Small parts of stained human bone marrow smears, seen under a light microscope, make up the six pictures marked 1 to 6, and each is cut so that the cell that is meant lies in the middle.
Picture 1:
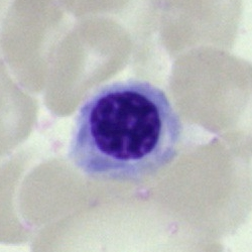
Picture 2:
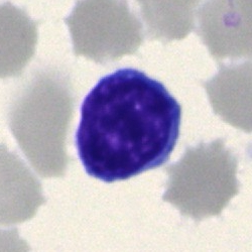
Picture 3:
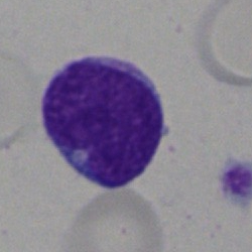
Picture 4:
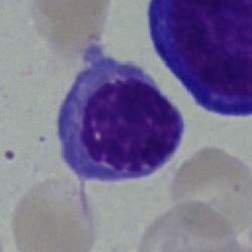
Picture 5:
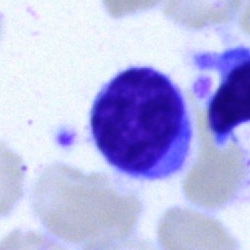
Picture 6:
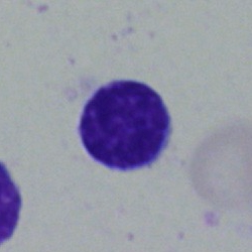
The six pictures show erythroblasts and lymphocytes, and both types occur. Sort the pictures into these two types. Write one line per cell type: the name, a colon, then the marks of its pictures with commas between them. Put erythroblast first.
erythroblast: 1, 4
lymphocyte: 2, 3, 5, 6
